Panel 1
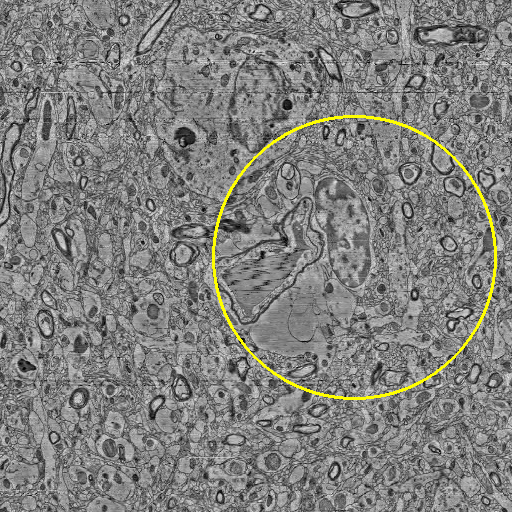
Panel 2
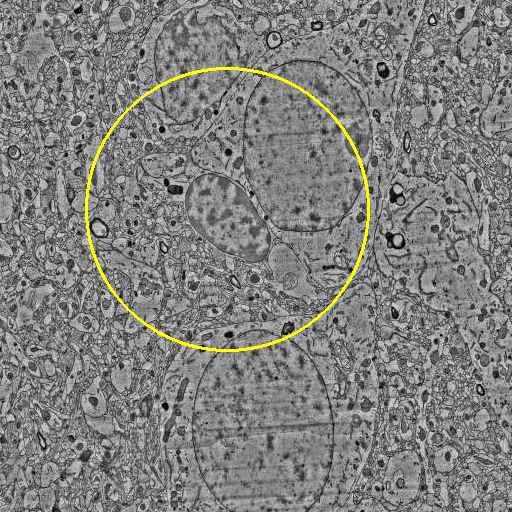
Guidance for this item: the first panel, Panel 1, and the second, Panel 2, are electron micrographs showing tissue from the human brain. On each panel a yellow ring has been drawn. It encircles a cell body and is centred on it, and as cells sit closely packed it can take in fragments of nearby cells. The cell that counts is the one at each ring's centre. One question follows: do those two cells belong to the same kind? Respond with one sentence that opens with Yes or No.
Yes, the cells at the ring centres in Panel 1 and Panel 2 are of one kind.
